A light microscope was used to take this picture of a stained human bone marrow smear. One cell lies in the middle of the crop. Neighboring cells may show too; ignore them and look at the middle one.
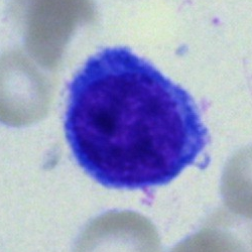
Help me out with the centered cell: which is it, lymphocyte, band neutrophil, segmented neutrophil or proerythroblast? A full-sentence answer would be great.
This crop has a proerythroblast at its centre.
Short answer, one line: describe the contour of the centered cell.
The outline of this cell is not smooth but ragged or drawn out into projections.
